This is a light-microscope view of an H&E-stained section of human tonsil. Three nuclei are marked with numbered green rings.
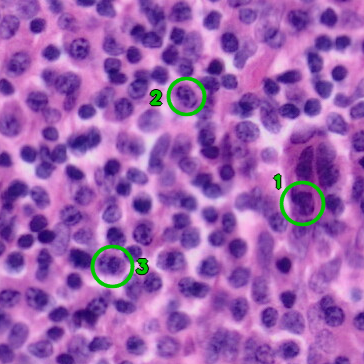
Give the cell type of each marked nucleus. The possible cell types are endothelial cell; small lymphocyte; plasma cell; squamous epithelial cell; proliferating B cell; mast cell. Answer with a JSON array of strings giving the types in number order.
["squamous epithelial cell", "plasma cell", "plasma cell"]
